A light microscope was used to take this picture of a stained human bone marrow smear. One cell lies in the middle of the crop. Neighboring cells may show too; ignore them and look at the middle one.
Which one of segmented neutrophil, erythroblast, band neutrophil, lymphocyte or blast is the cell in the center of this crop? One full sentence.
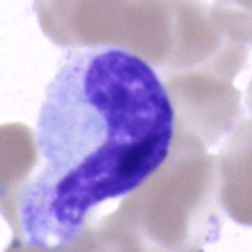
The crop shows a band neutrophil in its centre.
